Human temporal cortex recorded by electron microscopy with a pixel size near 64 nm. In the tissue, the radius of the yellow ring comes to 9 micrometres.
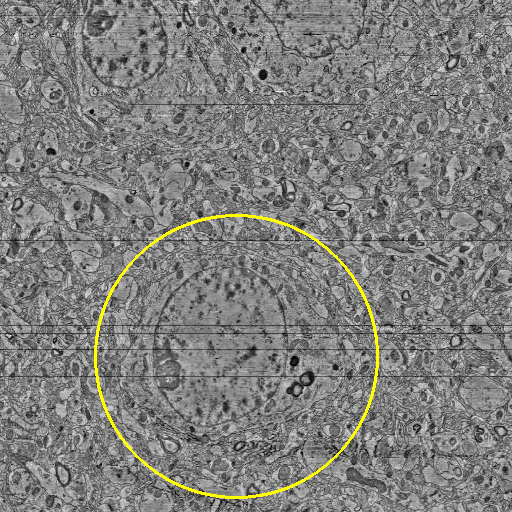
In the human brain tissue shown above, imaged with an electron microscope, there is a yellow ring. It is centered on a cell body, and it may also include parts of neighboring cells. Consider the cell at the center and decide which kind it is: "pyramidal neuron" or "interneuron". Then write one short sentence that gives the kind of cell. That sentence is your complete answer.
This centered cell body is that of a pyramidal neuron.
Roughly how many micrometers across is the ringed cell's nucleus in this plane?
In this plane the nucleus measures roughly 11 by 9 micrometers.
